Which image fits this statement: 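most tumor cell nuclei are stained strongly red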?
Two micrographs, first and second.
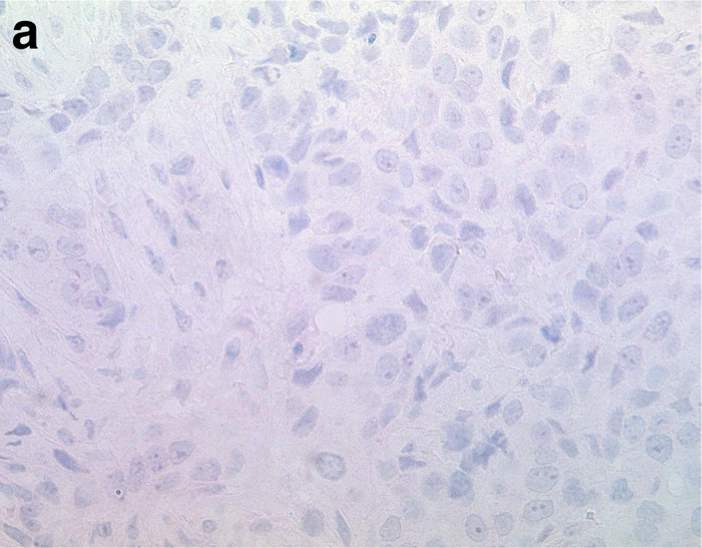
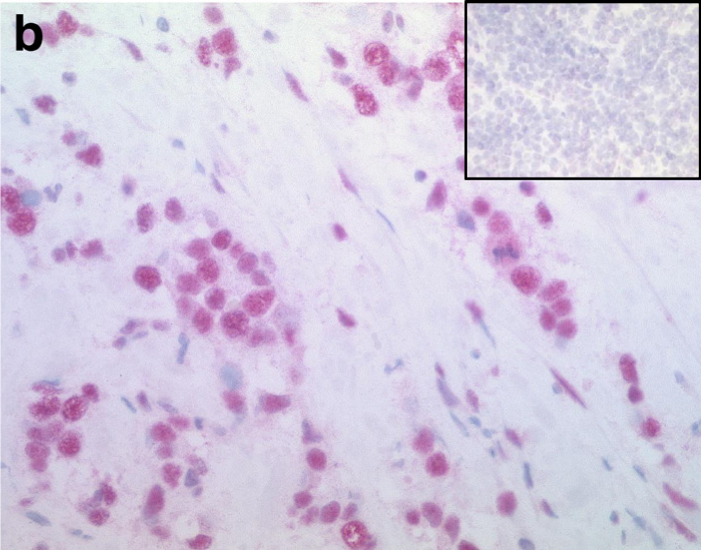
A: the second image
